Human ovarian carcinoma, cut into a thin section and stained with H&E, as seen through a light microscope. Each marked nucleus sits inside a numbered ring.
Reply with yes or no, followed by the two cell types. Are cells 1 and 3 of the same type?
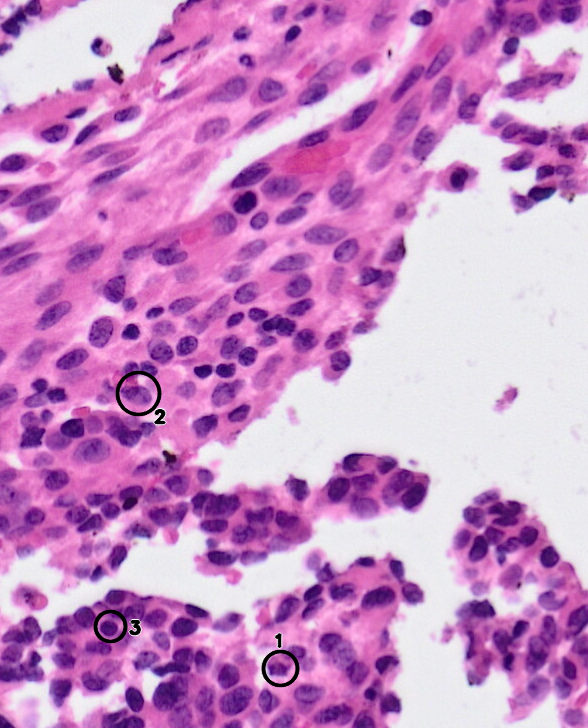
Yes, briefly put, cells 1 and 3 are both carcinoma cells.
